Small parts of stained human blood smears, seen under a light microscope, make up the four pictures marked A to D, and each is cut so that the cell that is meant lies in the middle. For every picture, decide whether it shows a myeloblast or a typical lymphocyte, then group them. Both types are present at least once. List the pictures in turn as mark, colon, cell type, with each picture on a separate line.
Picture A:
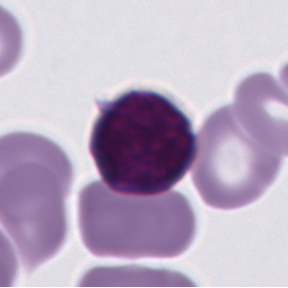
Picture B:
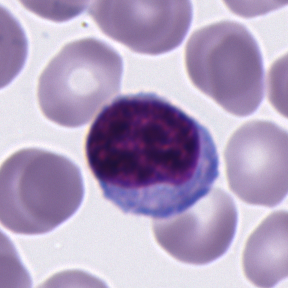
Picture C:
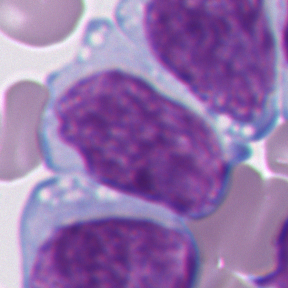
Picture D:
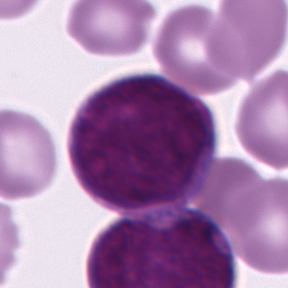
A: myeloblast
B: typical lymphocyte
C: myeloblast
D: myeloblast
